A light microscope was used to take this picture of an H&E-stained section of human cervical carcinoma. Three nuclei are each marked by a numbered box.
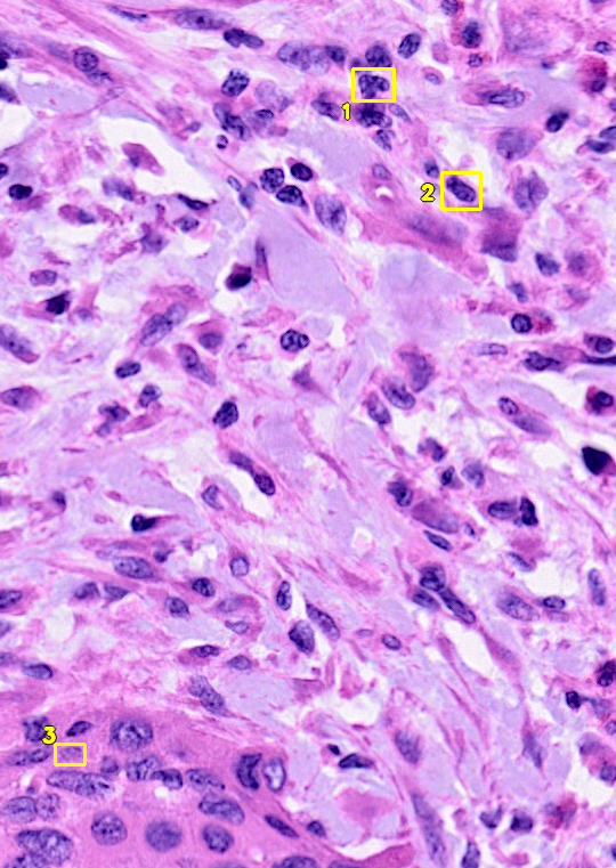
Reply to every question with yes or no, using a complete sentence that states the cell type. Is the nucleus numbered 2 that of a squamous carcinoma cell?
No, number 2 does not mark a squamous carcinoma cell; it marks a lymphocyte.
